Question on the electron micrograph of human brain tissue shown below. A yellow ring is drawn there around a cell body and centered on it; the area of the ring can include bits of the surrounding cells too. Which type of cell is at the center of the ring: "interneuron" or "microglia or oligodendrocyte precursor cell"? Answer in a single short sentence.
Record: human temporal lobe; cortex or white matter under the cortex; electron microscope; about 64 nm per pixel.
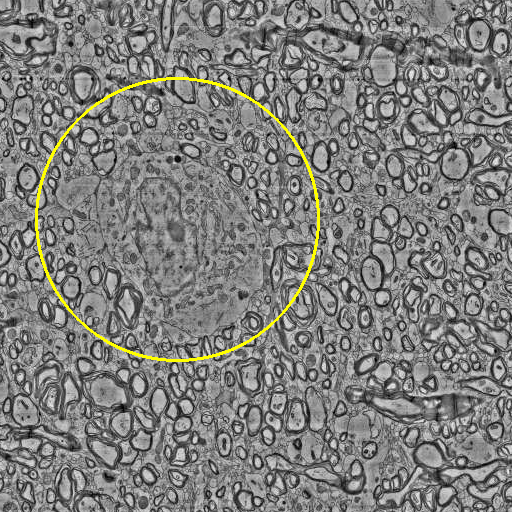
The ring is centered on an interneuron.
